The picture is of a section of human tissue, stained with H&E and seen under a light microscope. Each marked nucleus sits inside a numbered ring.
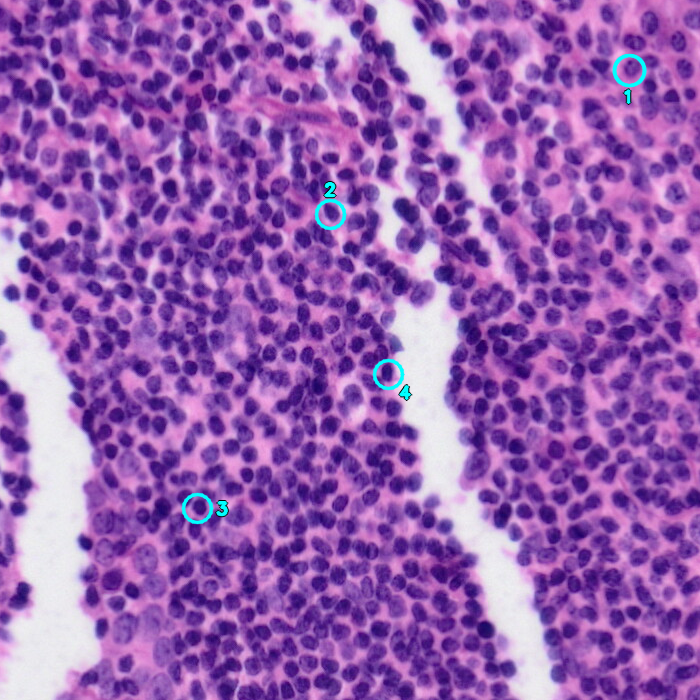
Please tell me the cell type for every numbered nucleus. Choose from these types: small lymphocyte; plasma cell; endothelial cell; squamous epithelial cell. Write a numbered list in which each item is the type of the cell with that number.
1. plasma cell
2. small lymphocyte
3. small lymphocyte
4. small lymphocyte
